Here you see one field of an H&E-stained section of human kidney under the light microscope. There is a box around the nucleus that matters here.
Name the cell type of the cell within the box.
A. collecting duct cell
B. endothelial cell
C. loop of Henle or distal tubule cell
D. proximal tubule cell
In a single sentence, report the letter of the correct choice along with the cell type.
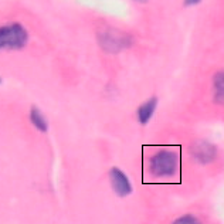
The correct option is D, as the cell within the box is a proximal tubule cell.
